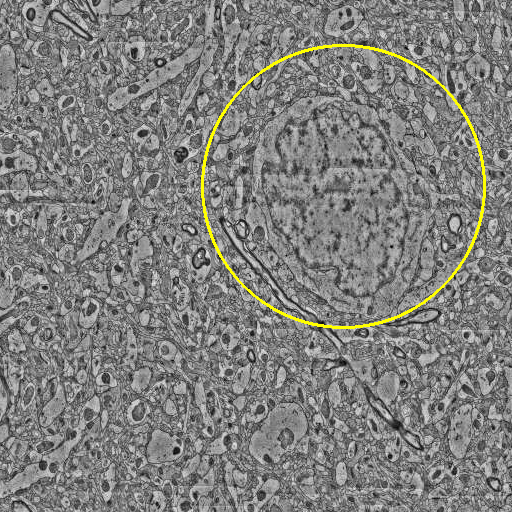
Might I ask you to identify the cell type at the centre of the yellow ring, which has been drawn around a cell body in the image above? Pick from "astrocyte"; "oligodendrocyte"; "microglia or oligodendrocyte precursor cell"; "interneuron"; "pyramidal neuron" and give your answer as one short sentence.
The centre of the ring falls on an interneuron.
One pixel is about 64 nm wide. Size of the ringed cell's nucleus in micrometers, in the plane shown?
Roughly 12 by 9 micrometres is the size of the nucleus in this plane.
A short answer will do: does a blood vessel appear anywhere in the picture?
No, there is none.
